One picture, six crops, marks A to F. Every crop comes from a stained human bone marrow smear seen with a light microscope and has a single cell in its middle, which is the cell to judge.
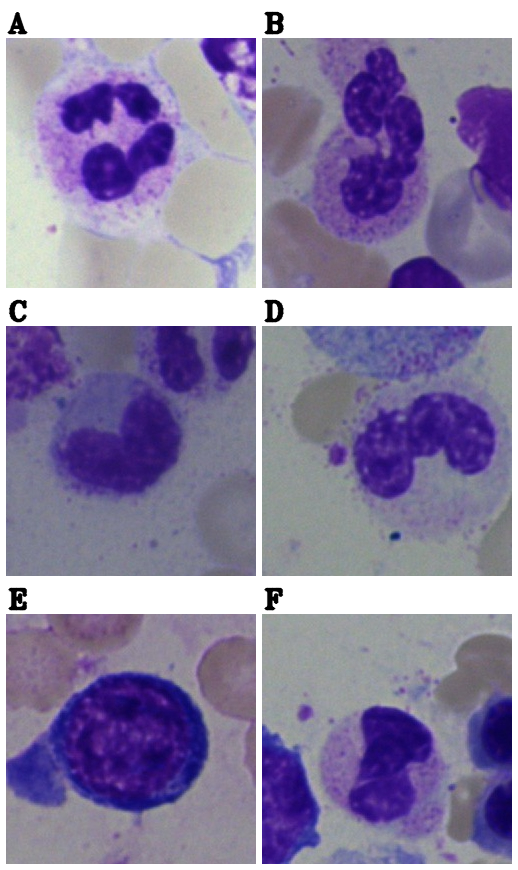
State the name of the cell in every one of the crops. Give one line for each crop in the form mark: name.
A: segmented neutrophil
B: segmented neutrophil
C: band neutrophil
D: segmented neutrophil
E: proerythroblast
F: band neutrophil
